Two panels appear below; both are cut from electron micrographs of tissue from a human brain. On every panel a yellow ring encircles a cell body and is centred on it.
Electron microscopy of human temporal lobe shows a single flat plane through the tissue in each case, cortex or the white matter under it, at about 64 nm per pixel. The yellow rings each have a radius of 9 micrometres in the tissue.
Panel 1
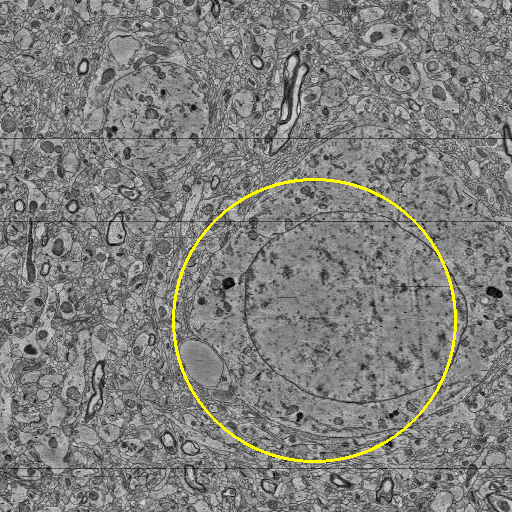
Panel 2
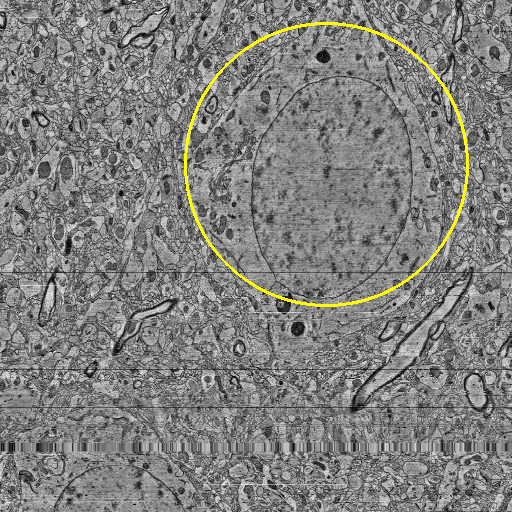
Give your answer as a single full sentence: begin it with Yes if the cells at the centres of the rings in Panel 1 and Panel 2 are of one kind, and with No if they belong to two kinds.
Yes, the cells in the middle of the rings in Panels 1 and 2 are of one kind.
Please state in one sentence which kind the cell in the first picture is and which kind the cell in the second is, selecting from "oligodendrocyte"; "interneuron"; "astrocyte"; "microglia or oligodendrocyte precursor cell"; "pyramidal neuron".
Each cell, in the first picture and the second, is a pyramidal neuron.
